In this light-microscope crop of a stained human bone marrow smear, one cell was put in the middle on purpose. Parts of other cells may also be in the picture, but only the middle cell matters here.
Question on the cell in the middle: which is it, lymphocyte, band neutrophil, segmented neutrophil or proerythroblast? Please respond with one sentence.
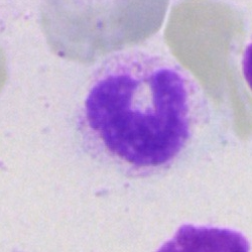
What sits at the centre of this crop is a segmented neutrophil.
